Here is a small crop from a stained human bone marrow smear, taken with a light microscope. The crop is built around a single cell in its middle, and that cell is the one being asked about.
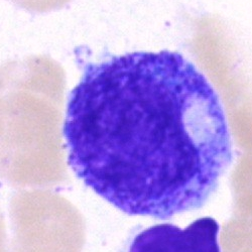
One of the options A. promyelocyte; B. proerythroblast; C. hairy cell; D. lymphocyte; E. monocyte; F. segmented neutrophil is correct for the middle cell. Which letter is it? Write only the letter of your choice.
A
